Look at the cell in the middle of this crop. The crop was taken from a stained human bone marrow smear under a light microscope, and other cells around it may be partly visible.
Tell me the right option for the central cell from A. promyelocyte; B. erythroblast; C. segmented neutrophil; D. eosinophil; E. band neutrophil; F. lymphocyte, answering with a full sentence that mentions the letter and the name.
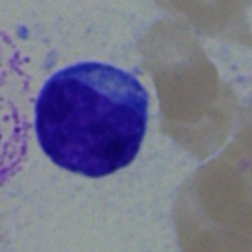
The cell right in the middle is a lymphocyte, so option F is the one.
